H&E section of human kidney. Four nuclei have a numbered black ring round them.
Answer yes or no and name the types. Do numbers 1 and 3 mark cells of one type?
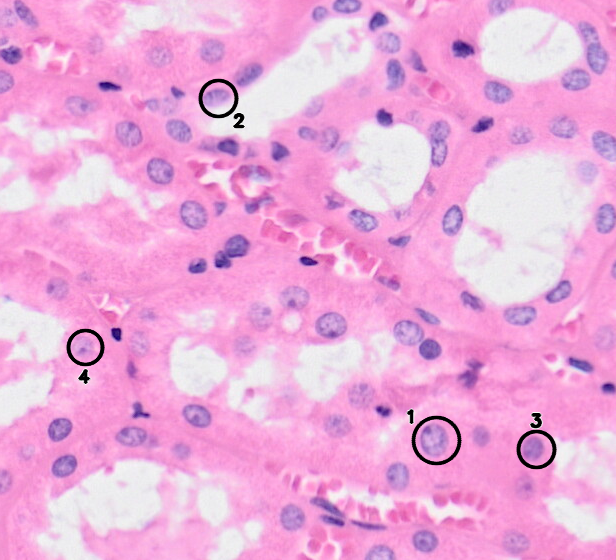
Yes, the numbered cells 1 and 3 are both proximal tubule cells.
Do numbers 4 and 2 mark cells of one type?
No, the identities are a proximal tubule cell for cell 4 and a collecting duct cell for cell 2.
